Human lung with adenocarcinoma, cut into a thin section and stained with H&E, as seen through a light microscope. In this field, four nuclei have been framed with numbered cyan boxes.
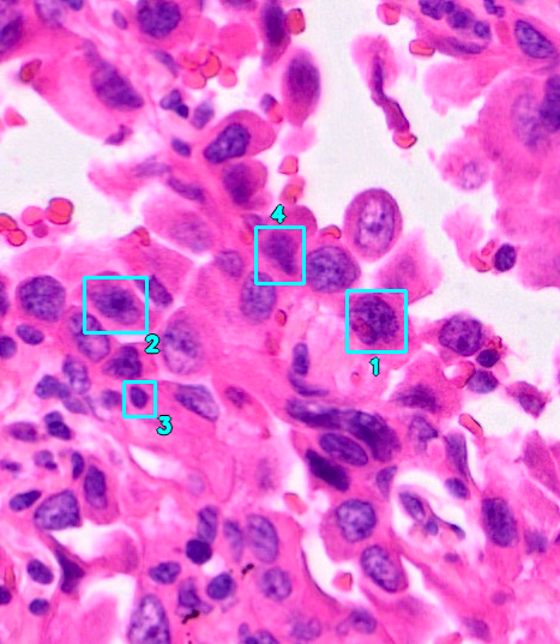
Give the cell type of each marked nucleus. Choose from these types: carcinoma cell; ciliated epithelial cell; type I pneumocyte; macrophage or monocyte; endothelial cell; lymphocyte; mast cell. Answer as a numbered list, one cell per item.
1. carcinoma cell
2. carcinoma cell
3. lymphocyte
4. carcinoma cell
